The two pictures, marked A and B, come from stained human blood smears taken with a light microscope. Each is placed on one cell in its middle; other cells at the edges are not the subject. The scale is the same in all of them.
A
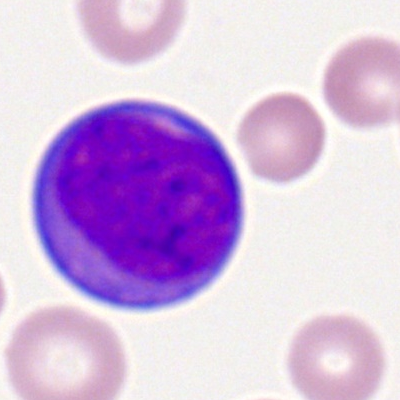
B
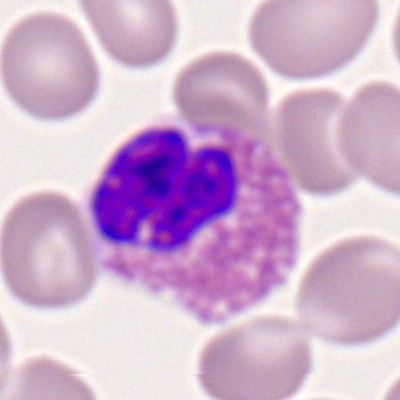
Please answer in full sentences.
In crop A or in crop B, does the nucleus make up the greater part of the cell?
In crop A the nucleus takes up the larger part of its cell.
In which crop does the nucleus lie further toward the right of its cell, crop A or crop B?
Seen within its cell, the nucleus in crop A lies further toward the right.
